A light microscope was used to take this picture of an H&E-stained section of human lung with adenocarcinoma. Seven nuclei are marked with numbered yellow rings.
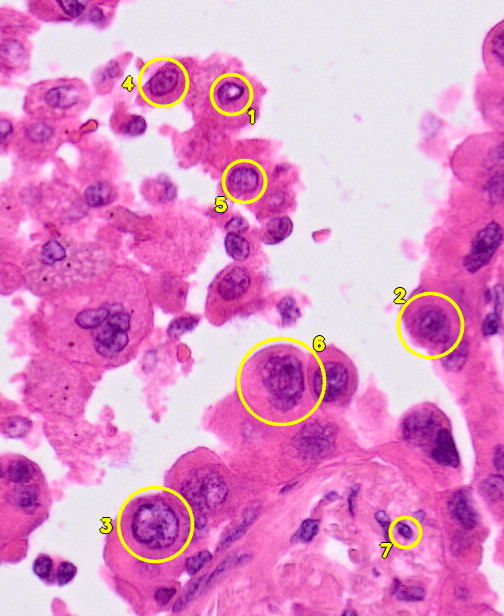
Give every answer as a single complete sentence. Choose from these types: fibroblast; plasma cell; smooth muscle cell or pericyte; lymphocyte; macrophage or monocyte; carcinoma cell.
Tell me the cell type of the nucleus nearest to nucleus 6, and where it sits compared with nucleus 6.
Just to the right of nucleus 6 lies the nearest nucleus, which belongs to a carcinoma cell.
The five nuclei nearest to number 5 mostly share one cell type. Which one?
Macrophages or monocytes make up most of the five nuclei closest to number 5.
